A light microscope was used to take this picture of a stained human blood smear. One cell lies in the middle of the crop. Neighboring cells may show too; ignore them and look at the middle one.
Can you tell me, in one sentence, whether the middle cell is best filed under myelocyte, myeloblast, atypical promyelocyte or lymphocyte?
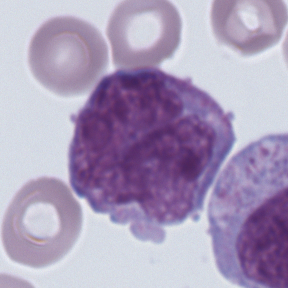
Positioned in the middle of the crop is an atypical promyelocyte.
